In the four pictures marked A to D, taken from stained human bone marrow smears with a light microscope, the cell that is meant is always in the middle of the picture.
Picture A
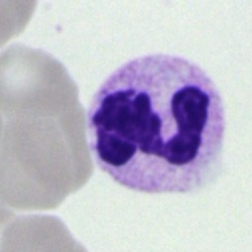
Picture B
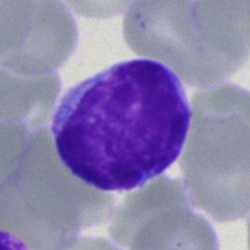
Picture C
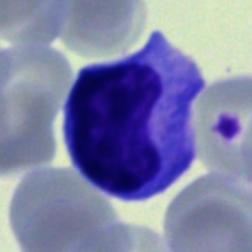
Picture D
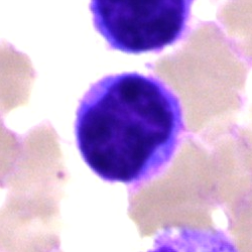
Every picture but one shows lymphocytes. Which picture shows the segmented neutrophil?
A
